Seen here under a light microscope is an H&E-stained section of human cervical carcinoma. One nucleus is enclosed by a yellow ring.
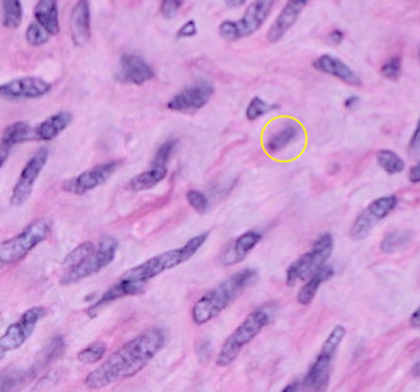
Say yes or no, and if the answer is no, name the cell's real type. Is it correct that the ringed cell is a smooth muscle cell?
Yes.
